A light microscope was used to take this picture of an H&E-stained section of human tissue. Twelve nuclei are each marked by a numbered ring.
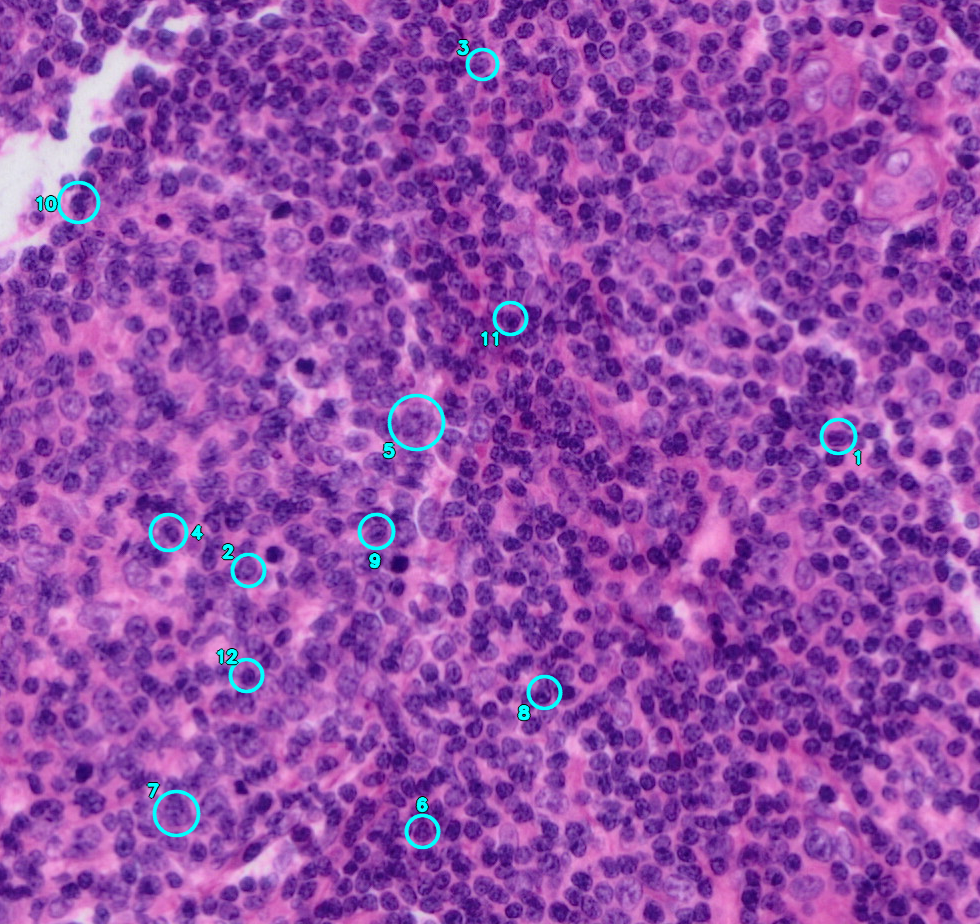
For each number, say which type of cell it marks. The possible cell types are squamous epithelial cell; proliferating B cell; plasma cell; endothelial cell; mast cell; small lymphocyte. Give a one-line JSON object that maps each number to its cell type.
{"1": "small lymphocyte", "2": "proliferating B cell", "3": "small lymphocyte", "4": "proliferating B cell", "5": "proliferating B cell", "6": "small lymphocyte", "7": "proliferating B cell", "8": "small lymphocyte", "9": "proliferating B cell", "10": "proliferating B cell", "11": "small lymphocyte", "12": "proliferating B cell"}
